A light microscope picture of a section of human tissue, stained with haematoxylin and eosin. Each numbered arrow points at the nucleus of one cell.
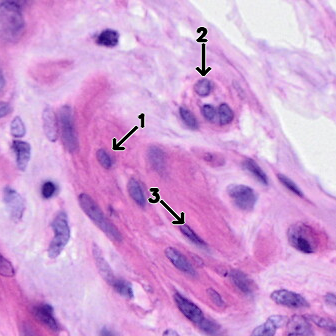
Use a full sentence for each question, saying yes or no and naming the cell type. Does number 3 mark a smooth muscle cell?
Yes, the marked cell number 3 is a smooth muscle cell.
